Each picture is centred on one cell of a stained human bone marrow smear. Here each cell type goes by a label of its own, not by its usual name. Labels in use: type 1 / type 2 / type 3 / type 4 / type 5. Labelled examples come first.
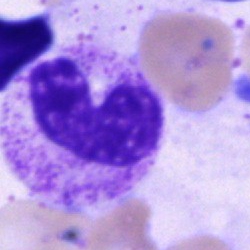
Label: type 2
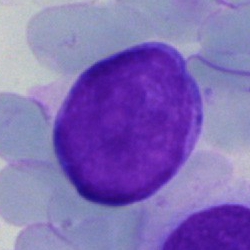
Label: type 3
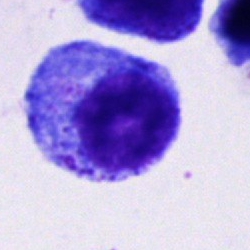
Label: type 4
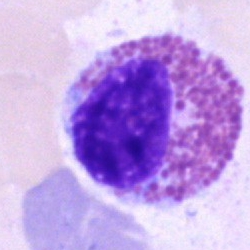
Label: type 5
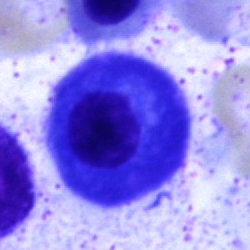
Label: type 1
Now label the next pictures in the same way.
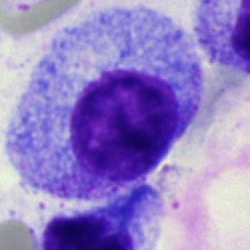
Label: type 4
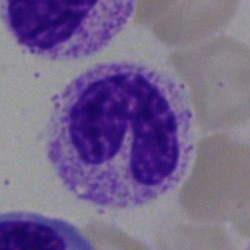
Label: type 2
